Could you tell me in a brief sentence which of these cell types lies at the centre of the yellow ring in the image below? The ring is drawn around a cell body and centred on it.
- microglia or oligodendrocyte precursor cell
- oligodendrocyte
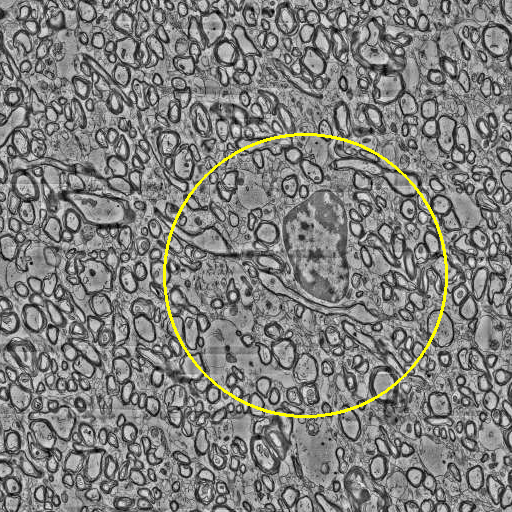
The cell centred in the ring is a microglial cell or oligodendrocyte precursor cell.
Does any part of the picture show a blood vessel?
No, no vessel shows anywhere in the image.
